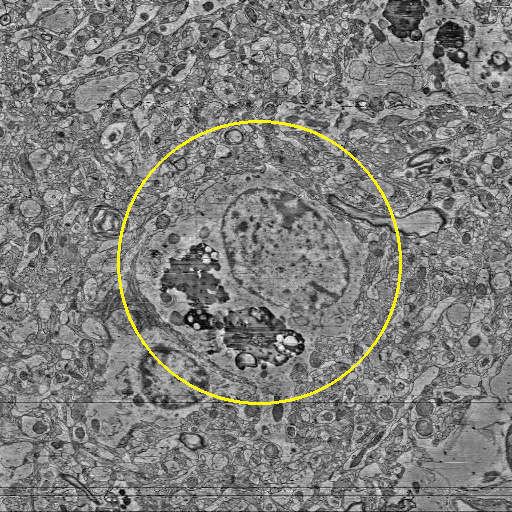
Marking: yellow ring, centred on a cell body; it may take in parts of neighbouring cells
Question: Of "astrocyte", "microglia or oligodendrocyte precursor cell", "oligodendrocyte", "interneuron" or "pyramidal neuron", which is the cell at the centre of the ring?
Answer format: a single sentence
The ring surrounds the body of an astrocyte.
